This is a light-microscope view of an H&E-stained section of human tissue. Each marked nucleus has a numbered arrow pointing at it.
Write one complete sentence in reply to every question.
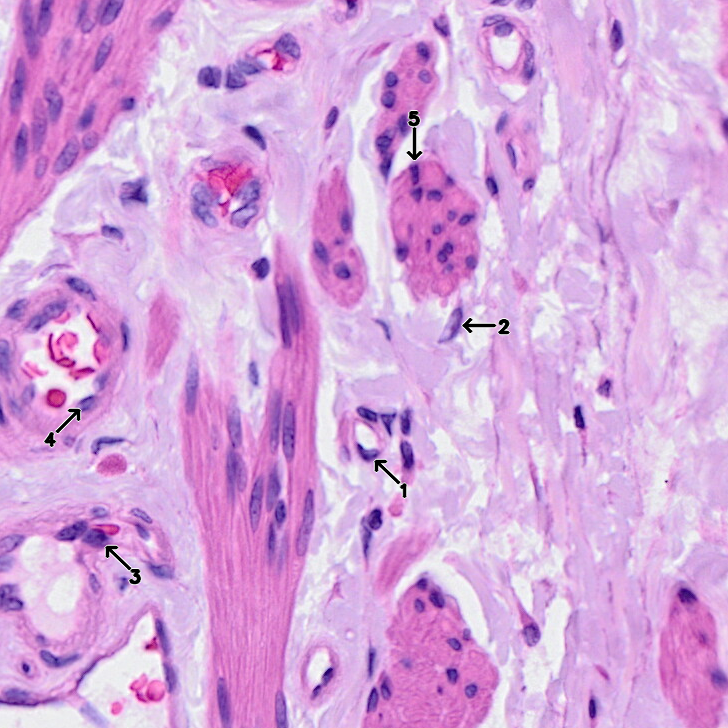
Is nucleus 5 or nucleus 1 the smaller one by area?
The smaller nucleus is 5, and 1 covers roughly 2 times its area.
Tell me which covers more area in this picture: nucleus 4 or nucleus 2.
Nucleus 2 covers more area, about 2 times as much as nucleus 4.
